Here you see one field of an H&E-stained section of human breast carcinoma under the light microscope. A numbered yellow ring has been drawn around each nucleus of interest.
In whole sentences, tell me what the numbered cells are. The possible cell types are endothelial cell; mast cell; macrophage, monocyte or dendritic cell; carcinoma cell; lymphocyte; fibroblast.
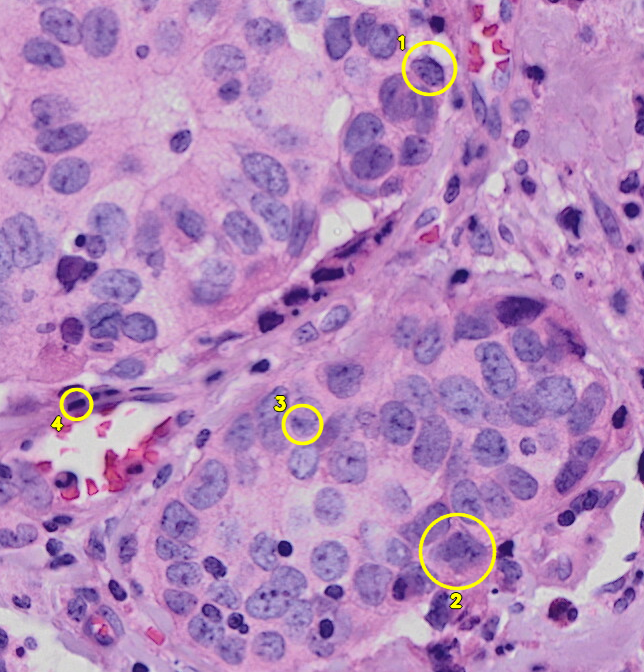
Cells 1, 2 and 3 are carcinoma cells. Cell 4 is an endothelial cell.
